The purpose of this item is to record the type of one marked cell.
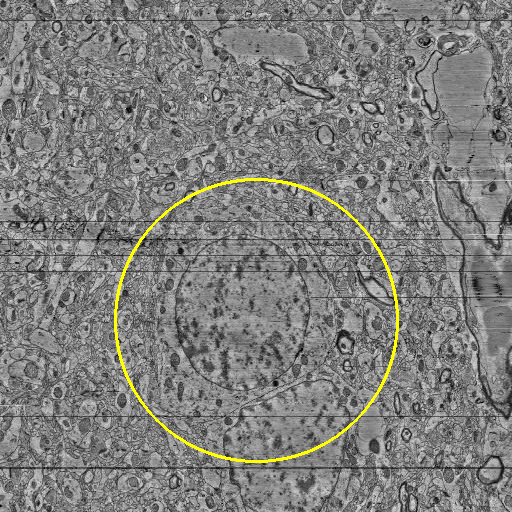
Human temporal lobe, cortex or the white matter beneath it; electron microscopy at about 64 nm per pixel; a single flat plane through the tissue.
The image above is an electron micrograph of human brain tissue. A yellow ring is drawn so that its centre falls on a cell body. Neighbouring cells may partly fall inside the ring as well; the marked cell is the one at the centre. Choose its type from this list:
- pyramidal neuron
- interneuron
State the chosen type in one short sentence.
What the ring marks here is a pyramidal neuron.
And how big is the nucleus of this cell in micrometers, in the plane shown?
In this plane, approximately 10 by 9 micrometers.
